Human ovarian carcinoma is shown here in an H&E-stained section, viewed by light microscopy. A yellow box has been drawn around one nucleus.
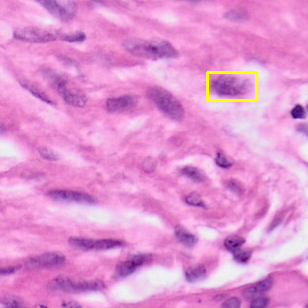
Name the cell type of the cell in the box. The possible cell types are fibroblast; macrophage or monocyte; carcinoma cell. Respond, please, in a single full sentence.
So far as cell type goes, the cell in the box is a fibroblast.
